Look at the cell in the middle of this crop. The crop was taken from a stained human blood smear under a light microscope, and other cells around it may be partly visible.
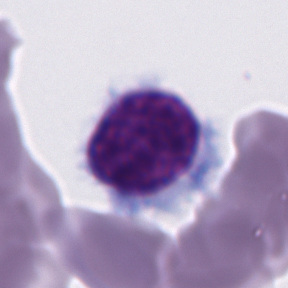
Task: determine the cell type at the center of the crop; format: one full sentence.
The cell at the centre of the field is a hairy cell.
